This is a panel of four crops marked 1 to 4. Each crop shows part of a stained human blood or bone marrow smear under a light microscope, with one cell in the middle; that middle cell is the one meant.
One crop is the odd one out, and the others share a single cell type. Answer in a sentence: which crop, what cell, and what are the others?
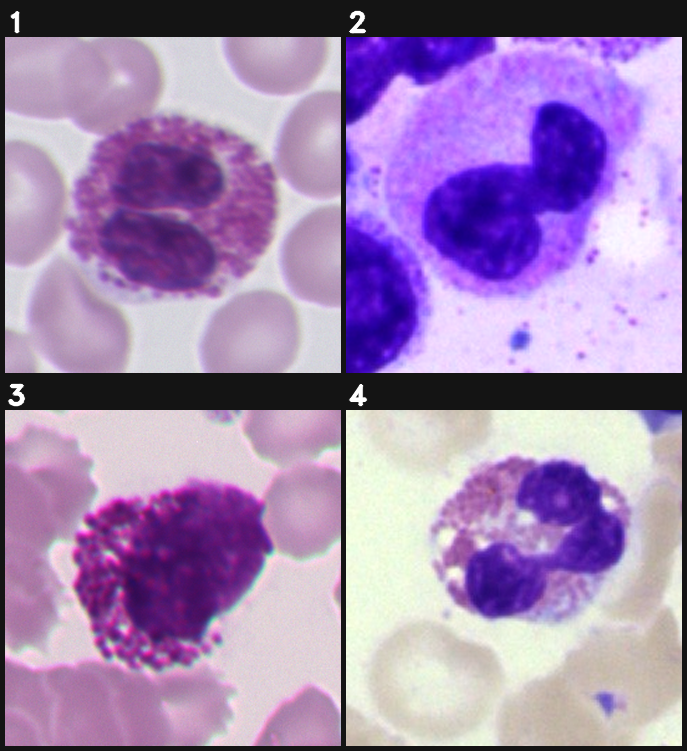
Excluding crop 2, which is a band neutrophil, the crops all show eosinophils.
